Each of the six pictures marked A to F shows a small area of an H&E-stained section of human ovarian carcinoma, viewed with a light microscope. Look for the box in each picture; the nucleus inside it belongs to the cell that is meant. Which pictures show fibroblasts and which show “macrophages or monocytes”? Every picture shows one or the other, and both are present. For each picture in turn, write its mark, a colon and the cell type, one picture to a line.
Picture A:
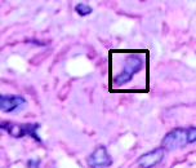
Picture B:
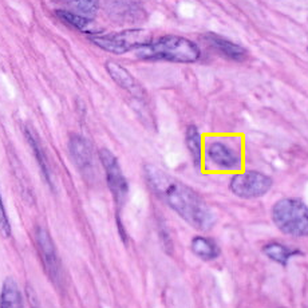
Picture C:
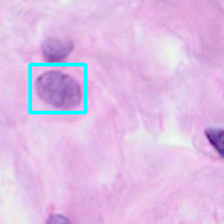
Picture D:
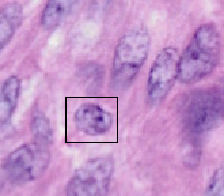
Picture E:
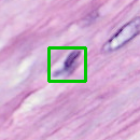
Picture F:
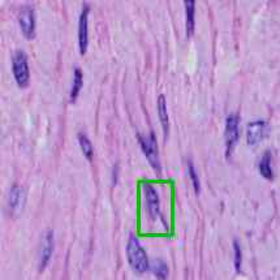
A: fibroblast
B: macrophage or monocyte
C: fibroblast
D: macrophage or monocyte
E: macrophage or monocyte
F: fibroblast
